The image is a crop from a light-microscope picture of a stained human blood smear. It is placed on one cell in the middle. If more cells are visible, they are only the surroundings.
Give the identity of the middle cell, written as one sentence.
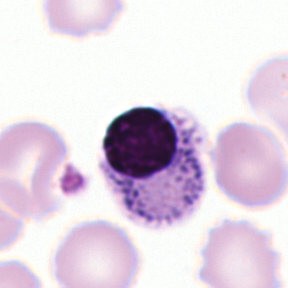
The cell centred in this crop is categorized as an erythroblast.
